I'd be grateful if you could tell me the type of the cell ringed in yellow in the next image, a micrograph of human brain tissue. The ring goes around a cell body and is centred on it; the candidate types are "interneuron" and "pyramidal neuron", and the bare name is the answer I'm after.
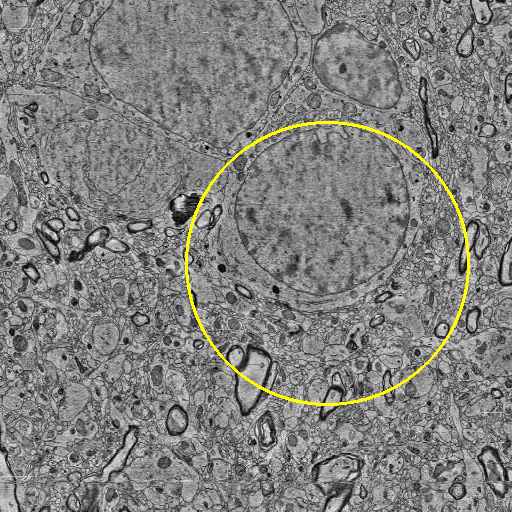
interneuron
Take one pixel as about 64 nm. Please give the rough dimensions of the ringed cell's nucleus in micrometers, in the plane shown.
Roughly 11 micrometres across, measured in this plane.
